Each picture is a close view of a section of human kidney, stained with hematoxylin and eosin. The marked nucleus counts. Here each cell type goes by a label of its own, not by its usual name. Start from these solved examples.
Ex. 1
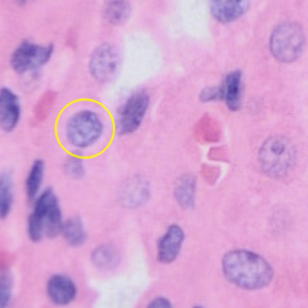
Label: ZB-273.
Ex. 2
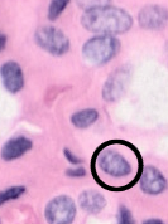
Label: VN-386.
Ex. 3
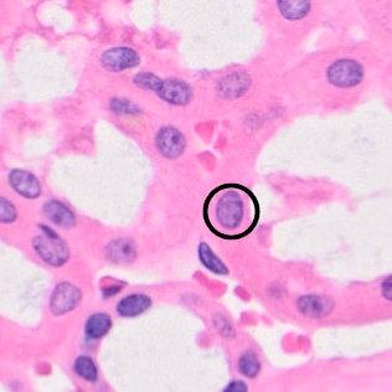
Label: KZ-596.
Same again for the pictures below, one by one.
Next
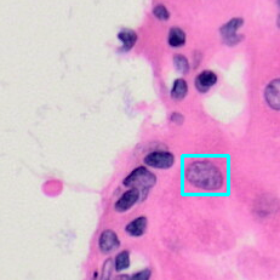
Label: KZ-596.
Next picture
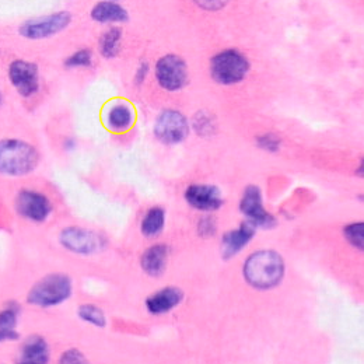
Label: ZB-273.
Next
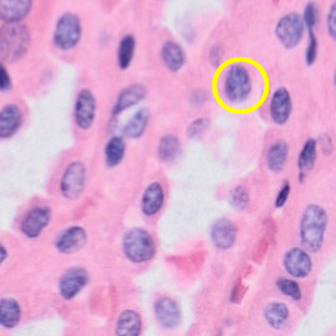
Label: ZB-273.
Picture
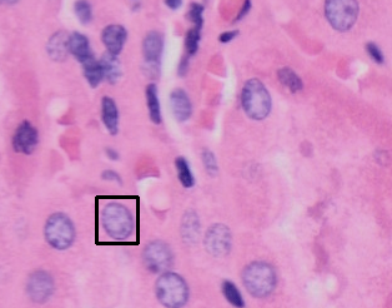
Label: KZ-596.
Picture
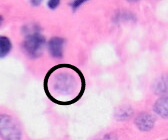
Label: ZB-273.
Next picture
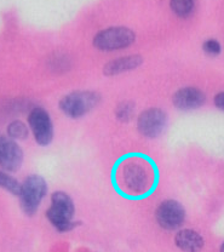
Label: ZB-273.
